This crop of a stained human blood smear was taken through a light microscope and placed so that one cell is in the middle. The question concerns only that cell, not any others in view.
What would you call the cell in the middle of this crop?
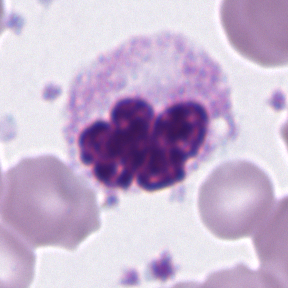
neutrophil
